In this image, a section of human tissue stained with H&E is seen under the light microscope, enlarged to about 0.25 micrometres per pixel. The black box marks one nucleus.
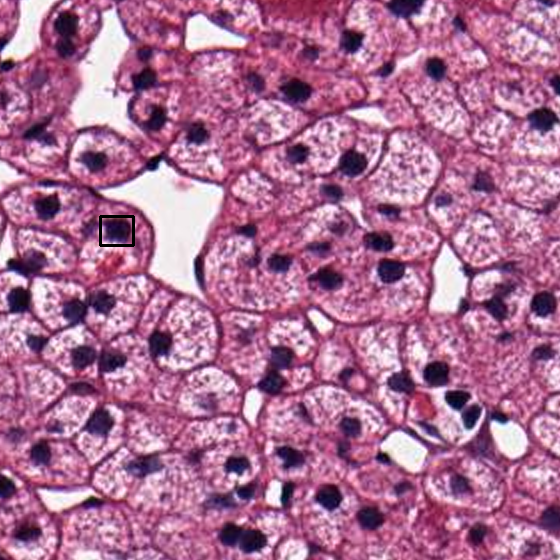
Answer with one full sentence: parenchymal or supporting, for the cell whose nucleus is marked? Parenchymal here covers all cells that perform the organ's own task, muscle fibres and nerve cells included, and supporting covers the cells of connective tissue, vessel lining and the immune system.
It is to an adrenal cortical cell, a parenchymal cell, that the marked nucleus belongs.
